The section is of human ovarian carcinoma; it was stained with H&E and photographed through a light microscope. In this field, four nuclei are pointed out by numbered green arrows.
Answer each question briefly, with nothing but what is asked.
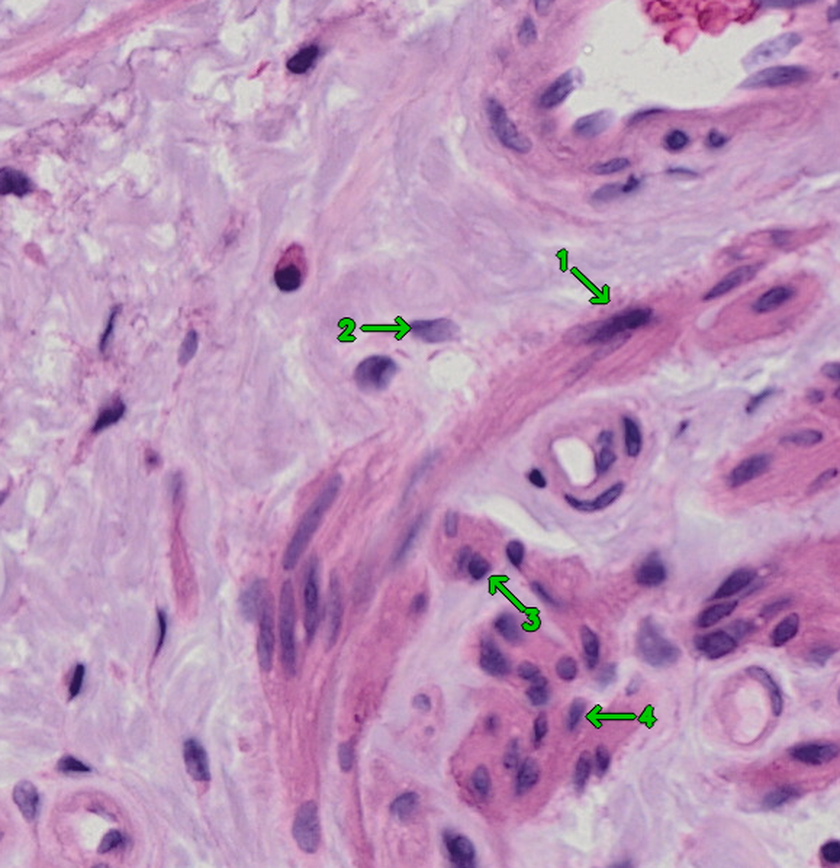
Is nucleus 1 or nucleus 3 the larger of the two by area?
1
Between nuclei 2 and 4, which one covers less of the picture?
4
